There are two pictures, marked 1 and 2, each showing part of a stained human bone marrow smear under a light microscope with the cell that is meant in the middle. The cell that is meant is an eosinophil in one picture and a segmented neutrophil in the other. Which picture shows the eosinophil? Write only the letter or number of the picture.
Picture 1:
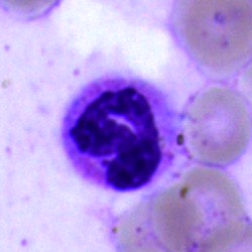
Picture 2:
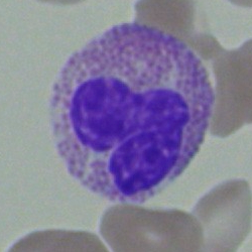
2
